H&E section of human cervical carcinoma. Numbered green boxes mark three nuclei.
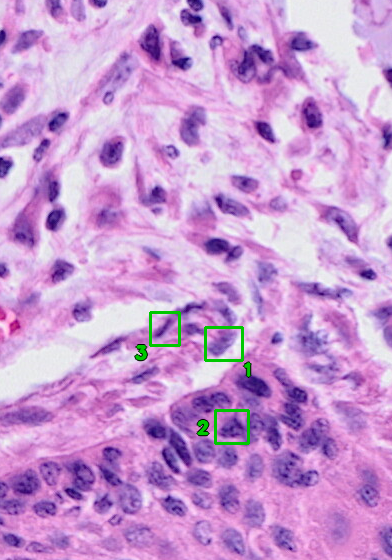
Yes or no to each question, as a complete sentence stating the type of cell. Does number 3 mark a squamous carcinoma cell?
No, the cell carrying number 3 is a fibroblast rather than a squamous carcinoma cell.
